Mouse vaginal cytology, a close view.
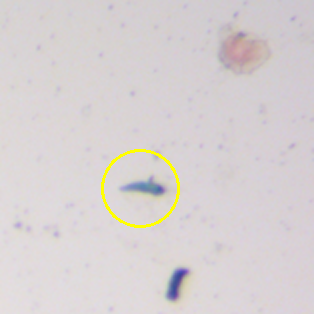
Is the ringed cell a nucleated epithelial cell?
No, it is a cornified epithelial cell.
